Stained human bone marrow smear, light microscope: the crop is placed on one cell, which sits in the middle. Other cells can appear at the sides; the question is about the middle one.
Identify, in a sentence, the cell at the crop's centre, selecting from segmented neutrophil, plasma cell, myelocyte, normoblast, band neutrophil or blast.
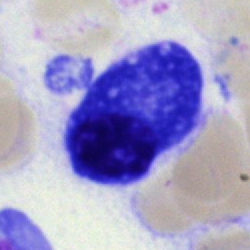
The cell around which this crop is centred is a plasma cell.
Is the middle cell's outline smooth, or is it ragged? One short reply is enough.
No projections interrupt the outline; it is smooth all the way round.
